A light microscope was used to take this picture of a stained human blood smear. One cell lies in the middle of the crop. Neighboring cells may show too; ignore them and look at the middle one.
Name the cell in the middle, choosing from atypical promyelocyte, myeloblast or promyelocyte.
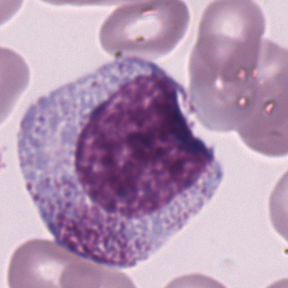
promyelocyte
